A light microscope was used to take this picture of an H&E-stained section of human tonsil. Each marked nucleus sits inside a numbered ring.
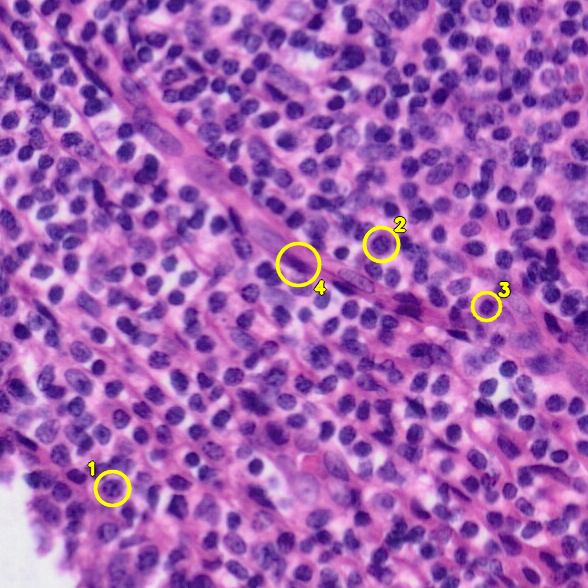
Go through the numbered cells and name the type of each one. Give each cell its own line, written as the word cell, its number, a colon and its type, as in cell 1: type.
cell 1: plasma cell
cell 2: plasma cell
cell 3: endothelial cell
cell 4: endothelial cell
